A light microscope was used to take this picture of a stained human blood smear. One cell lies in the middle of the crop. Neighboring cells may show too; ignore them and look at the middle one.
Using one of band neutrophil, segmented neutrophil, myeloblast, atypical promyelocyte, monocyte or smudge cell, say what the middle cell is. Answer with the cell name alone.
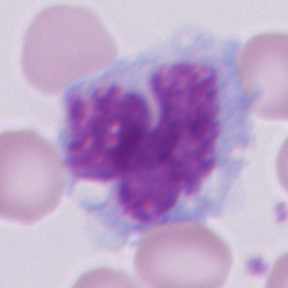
monocyte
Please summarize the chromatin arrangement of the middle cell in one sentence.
No coarse chromatin clumps are present; the pattern is fine.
